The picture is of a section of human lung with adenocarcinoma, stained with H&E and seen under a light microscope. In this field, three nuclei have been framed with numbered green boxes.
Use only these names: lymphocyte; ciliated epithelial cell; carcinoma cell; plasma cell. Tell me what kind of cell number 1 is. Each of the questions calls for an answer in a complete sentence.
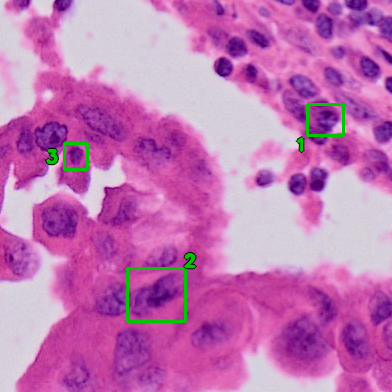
The one numbered 1 among the marked cells is a plasma cell.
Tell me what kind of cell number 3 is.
Number 3 is placed on a carcinoma cell here.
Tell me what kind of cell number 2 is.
The cell that is numbered 2 is a carcinoma cell.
